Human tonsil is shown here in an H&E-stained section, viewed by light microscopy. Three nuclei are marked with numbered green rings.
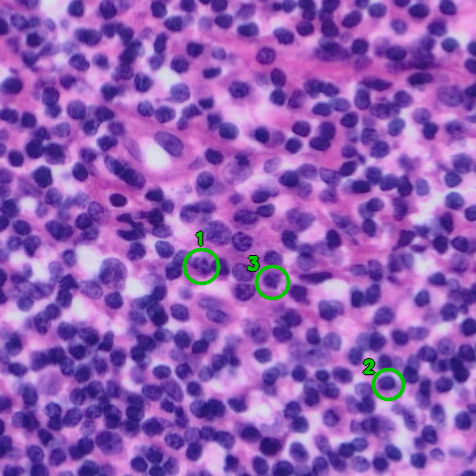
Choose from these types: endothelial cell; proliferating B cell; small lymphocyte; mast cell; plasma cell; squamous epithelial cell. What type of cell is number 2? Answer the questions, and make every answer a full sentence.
The cell identified by number 2 is a small lymphocyte.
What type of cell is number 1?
The cell that goes by number 1 is a plasma cell.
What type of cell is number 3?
Denoted by the label 3 in the section is a plasma cell.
